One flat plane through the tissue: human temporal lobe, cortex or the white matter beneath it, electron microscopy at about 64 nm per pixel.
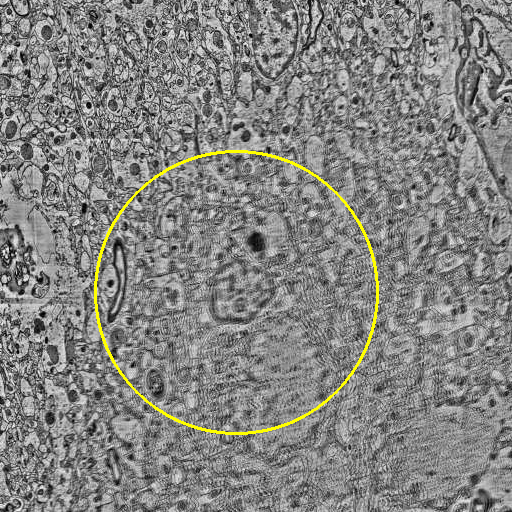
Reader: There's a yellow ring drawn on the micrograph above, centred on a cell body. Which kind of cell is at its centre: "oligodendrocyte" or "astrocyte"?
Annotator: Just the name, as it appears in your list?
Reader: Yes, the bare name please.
oligodendrocyte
